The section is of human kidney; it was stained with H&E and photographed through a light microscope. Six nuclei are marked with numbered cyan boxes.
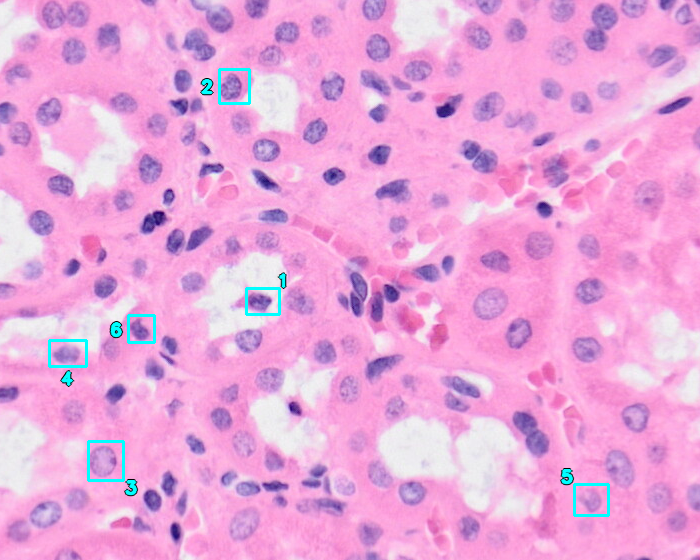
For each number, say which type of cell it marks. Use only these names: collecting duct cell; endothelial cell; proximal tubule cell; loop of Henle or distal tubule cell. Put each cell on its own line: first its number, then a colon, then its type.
1: loop of Henle or distal tubule cell
2: loop of Henle or distal tubule cell
3: proximal tubule cell
4: loop of Henle or distal tubule cell
5: proximal tubule cell
6: loop of Henle or distal tubule cell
